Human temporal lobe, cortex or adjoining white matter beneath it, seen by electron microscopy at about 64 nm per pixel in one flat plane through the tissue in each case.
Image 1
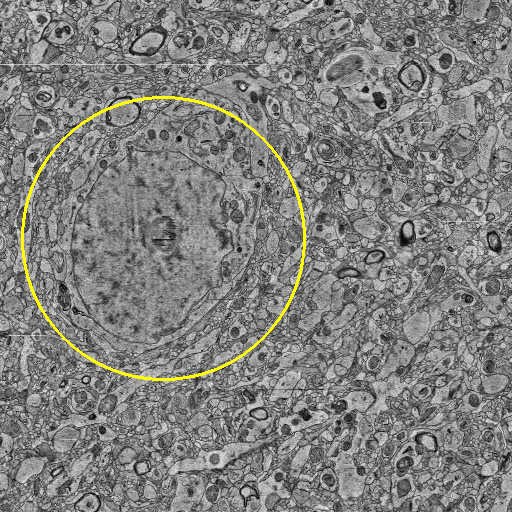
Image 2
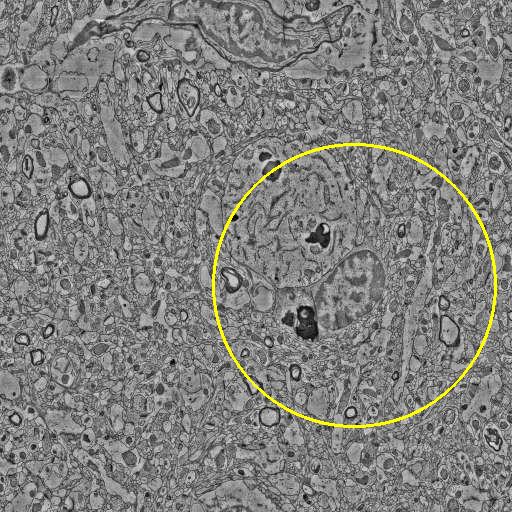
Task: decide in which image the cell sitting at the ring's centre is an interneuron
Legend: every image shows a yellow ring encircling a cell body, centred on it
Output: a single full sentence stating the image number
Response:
In image 1, the cell at the middle of the ring is the match.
